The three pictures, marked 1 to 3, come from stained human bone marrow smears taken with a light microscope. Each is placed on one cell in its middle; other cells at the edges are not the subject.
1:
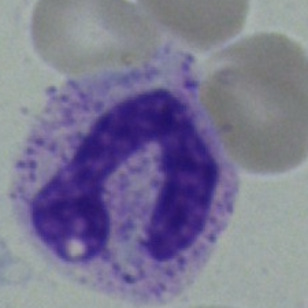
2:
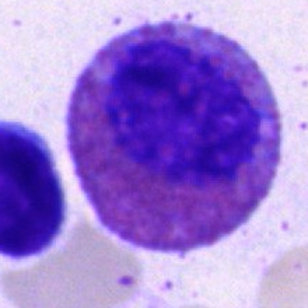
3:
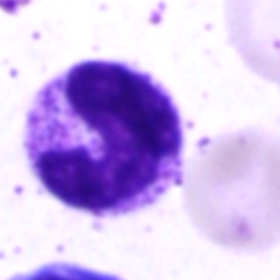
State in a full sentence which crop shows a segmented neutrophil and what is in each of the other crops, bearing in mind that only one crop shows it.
In crop 3, the cell at the centre is a segmented neutrophil, while crop 1 is a band neutrophil and crop 2 is an eosinophil.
